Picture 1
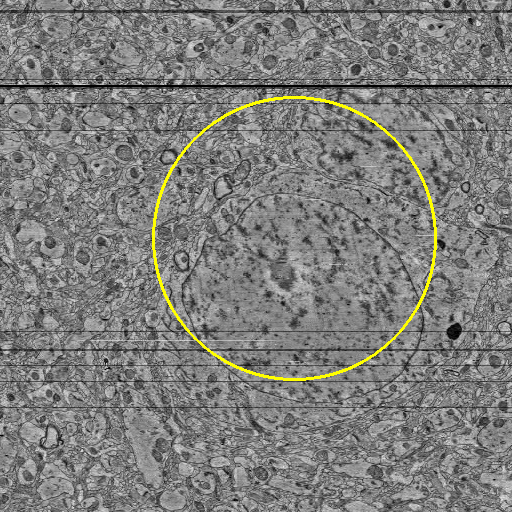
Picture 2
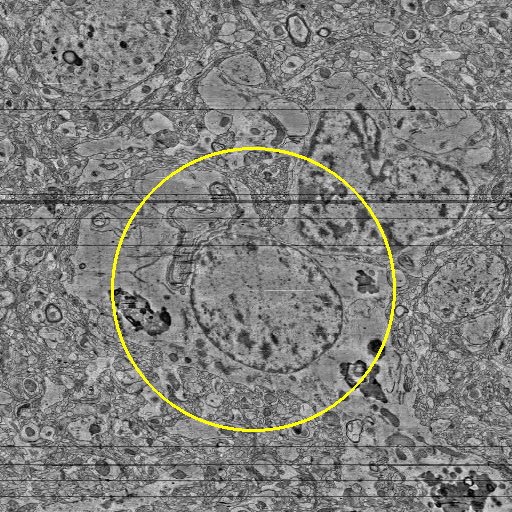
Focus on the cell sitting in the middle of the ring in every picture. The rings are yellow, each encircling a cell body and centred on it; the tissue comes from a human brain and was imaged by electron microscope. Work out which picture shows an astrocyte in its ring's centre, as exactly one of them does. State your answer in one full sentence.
In picture 2, the ring is centred on the cell in question.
